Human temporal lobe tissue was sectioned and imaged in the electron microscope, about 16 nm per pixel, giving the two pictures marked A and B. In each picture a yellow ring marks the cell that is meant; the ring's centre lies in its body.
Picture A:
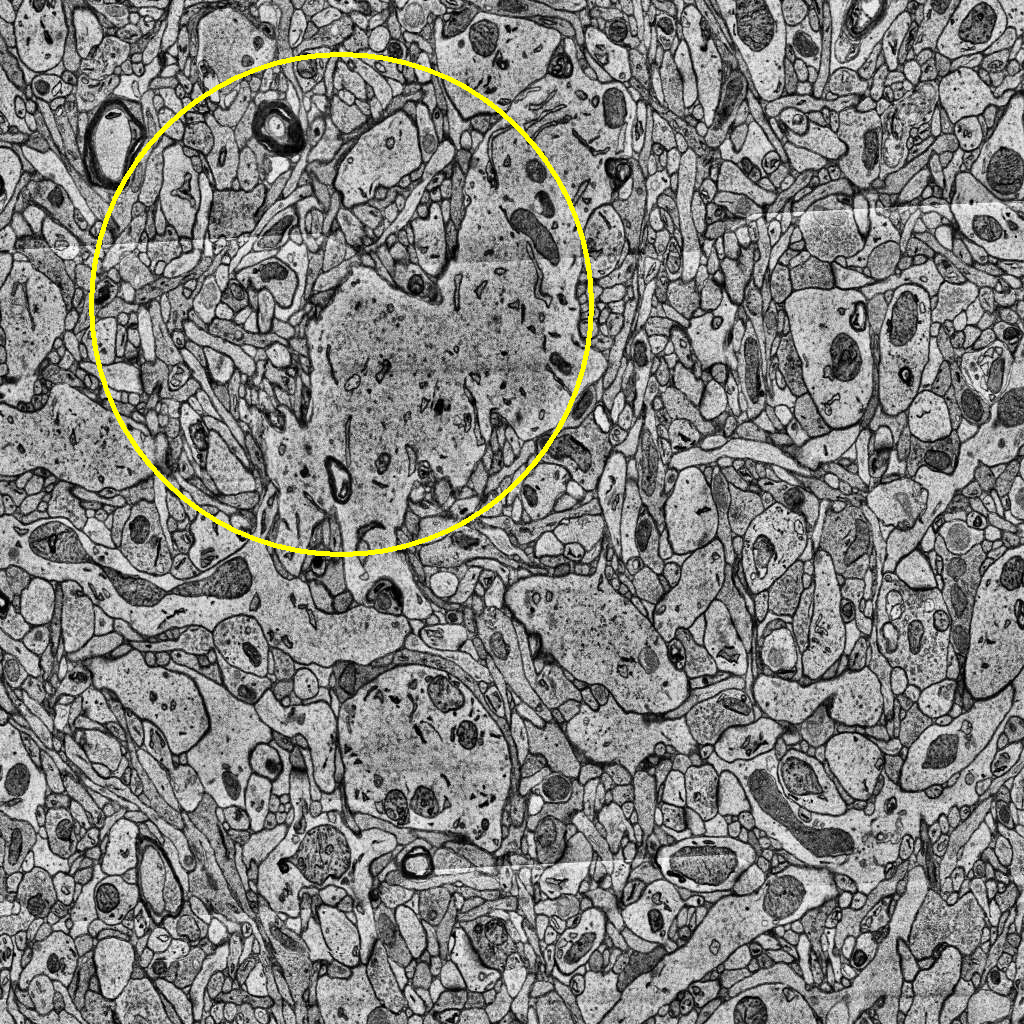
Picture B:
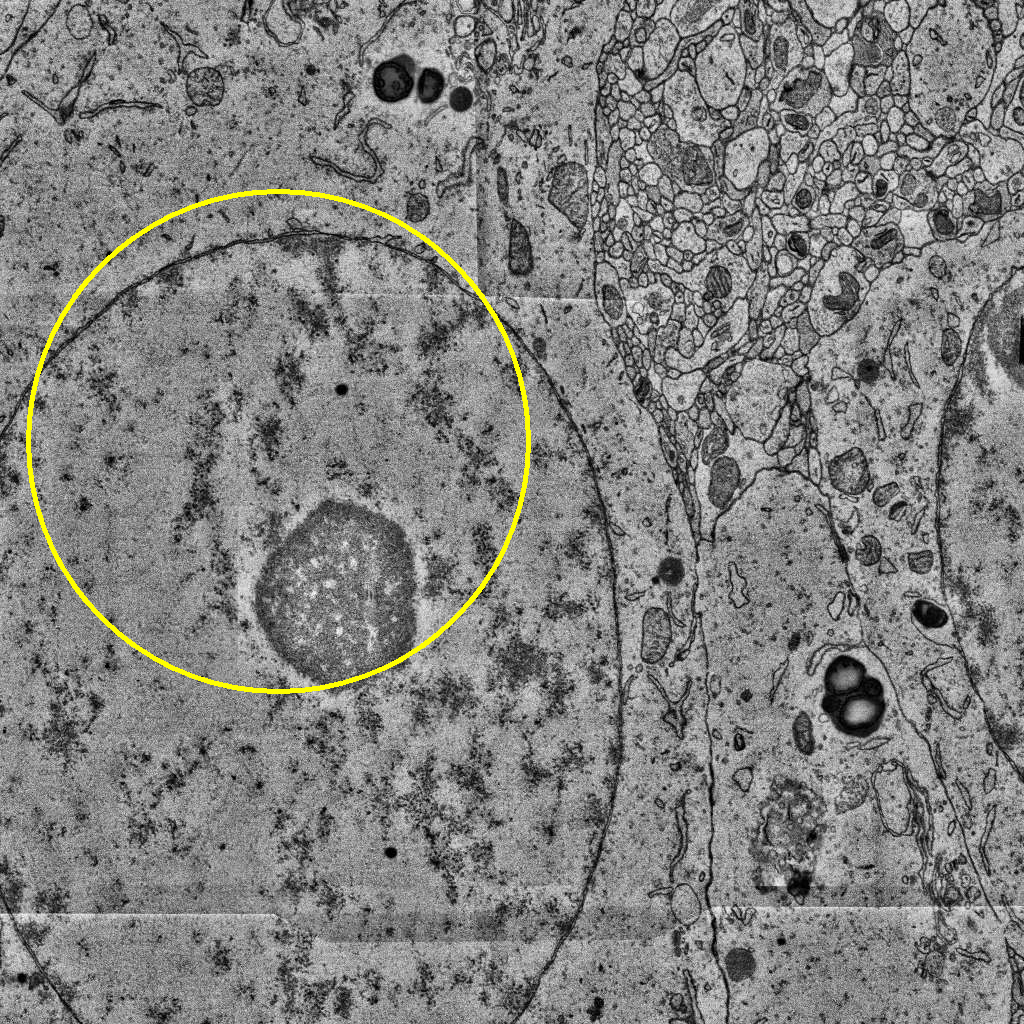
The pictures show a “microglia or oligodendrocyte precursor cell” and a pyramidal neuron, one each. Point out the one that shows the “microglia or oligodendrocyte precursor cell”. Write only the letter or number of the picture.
A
